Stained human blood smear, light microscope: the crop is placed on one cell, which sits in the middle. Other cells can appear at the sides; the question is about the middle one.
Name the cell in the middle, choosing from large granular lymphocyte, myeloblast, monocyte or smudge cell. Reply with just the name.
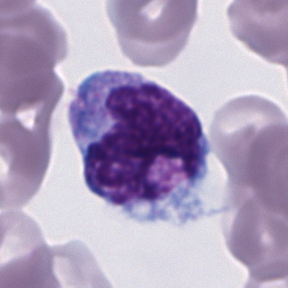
monocyte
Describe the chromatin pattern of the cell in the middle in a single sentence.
Heads up, the chromatin in this one is coarsely clumped.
